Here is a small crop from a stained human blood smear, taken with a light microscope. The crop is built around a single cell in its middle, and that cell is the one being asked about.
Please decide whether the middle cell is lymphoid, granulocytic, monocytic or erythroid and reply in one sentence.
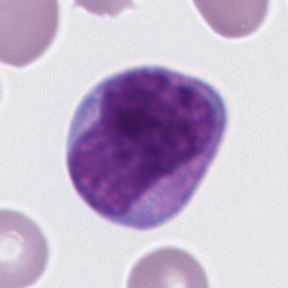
To the granulocytic lineage belongs the cell in the middle of the crop.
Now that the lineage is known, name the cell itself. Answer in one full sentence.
Classified as an atypical promyelocyte is the cell in the middle of this crop.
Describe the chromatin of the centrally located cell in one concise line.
Heads up, the chromatin is fine with no coarse clumps in it.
